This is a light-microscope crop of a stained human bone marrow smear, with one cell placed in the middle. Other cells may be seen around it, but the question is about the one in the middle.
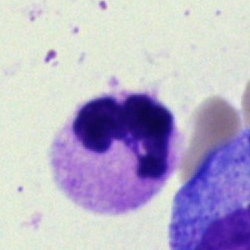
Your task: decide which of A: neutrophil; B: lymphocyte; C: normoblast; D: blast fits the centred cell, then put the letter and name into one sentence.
Option A is the correct option, with the middle cell being a neutrophil.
